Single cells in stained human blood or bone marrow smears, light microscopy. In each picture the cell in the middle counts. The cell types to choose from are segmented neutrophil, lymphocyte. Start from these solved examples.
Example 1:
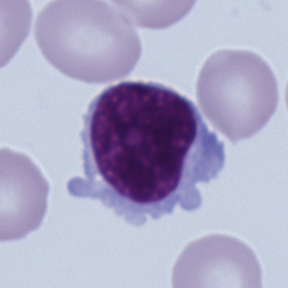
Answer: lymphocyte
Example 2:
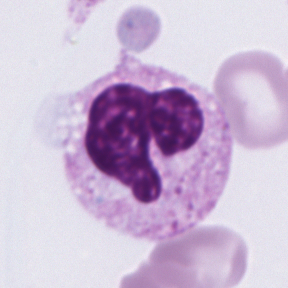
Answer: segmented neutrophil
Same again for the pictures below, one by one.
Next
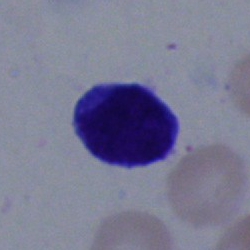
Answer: lymphocyte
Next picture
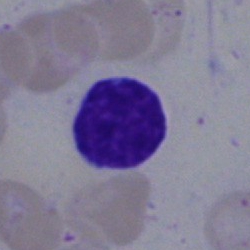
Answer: lymphocyte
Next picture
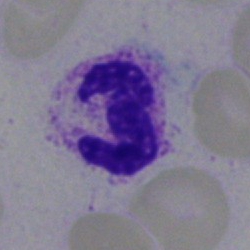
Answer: segmented neutrophil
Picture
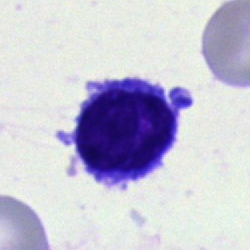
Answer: lymphocyte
